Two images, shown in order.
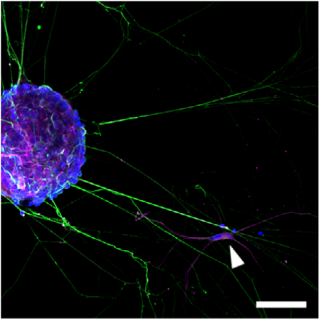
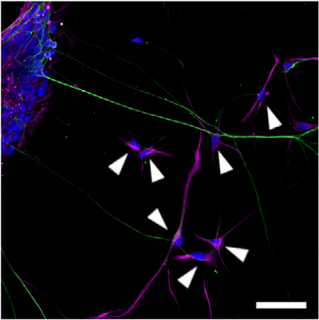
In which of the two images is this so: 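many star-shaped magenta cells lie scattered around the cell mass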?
the second image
